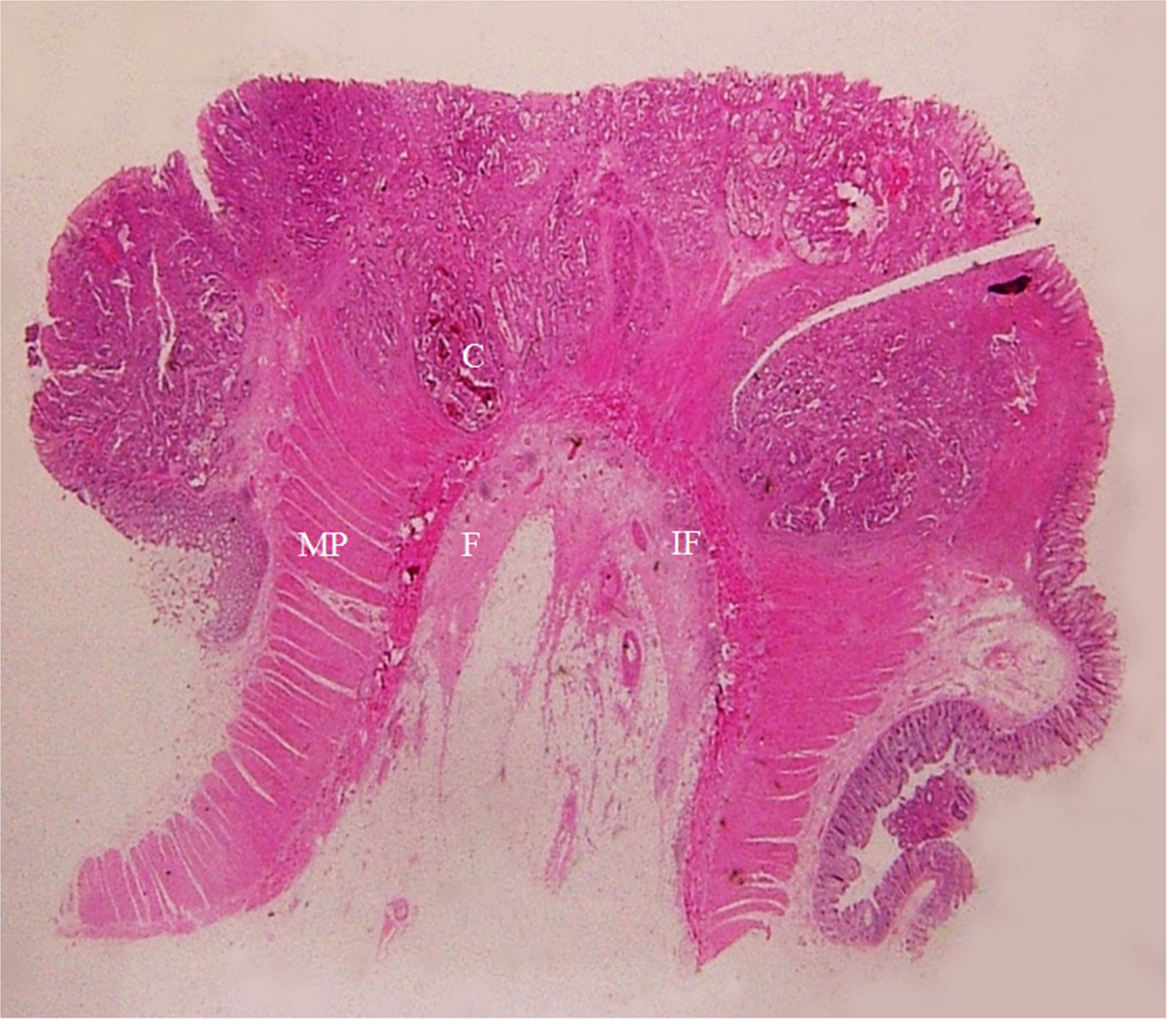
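This low-power section through the colon wall shows an adenocarcinoma invading into the muscularis propria. At the top, a crowded mass of irregular, back-to-back glands stains deep purple-pink and replaces the normal mucosa, while at the lower right edge the normal mucosa, with regular folds lined by glands, is still seen. Beneath the tumour, thick bands of pink smooth muscle of the muscularis propria run down on both sides, and a nest of tumour glands lies pushed down among the muscle bundles. Along the surface of the muscle beside this pale tissue, small darker foci of inflammation can be made out.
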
